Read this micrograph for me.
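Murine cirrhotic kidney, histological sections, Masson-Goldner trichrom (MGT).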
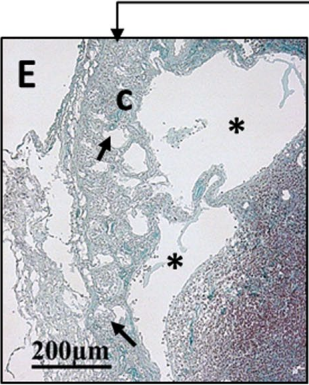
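Loose, pale blue-green tissue made of thin strands and small hollow rounded structures borders large empty spaces, while denser reddish, cell-rich tissue fills the lower right corner. The thin cortex here contains spacious cystic areas, and the small hollow rounded structures are cystic degenerated glomeruli.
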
